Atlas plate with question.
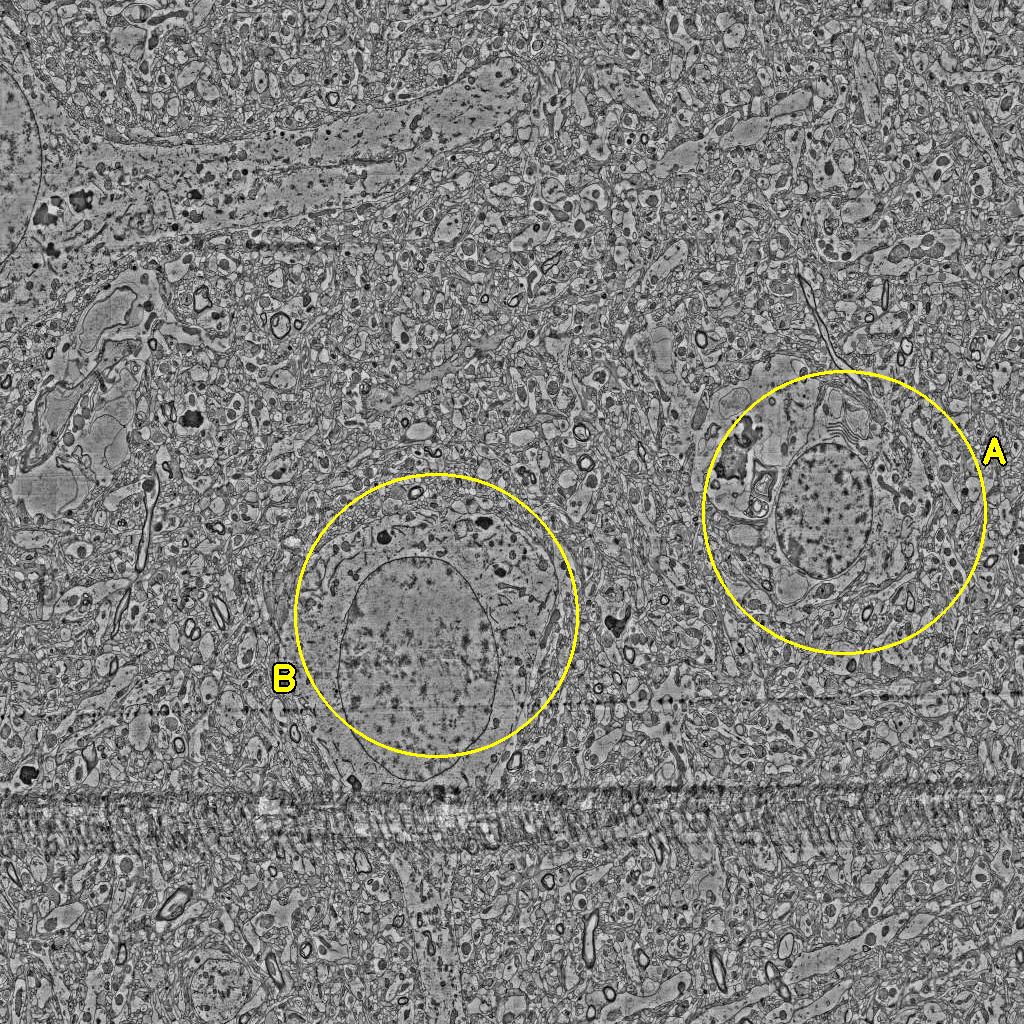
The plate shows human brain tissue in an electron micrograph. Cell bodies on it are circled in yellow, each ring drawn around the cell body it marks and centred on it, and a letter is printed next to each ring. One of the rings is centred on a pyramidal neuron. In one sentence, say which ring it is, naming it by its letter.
It is ring B.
